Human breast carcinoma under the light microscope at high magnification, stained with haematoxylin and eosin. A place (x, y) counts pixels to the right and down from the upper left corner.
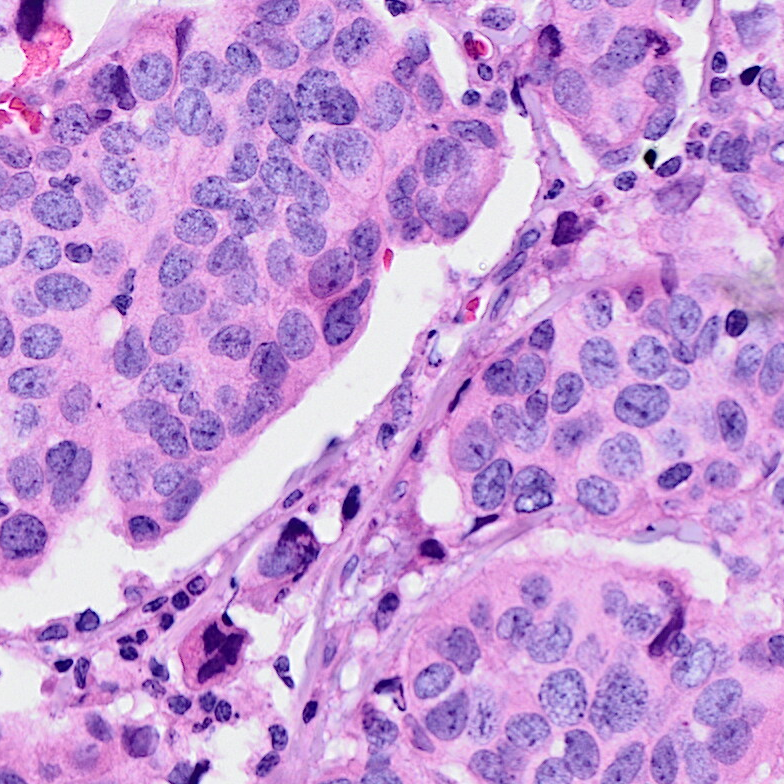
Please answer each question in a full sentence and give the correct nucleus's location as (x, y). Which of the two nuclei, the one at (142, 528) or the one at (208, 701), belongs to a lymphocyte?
The nucleus whose cell is a lymphocyte is the one at (208, 701).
